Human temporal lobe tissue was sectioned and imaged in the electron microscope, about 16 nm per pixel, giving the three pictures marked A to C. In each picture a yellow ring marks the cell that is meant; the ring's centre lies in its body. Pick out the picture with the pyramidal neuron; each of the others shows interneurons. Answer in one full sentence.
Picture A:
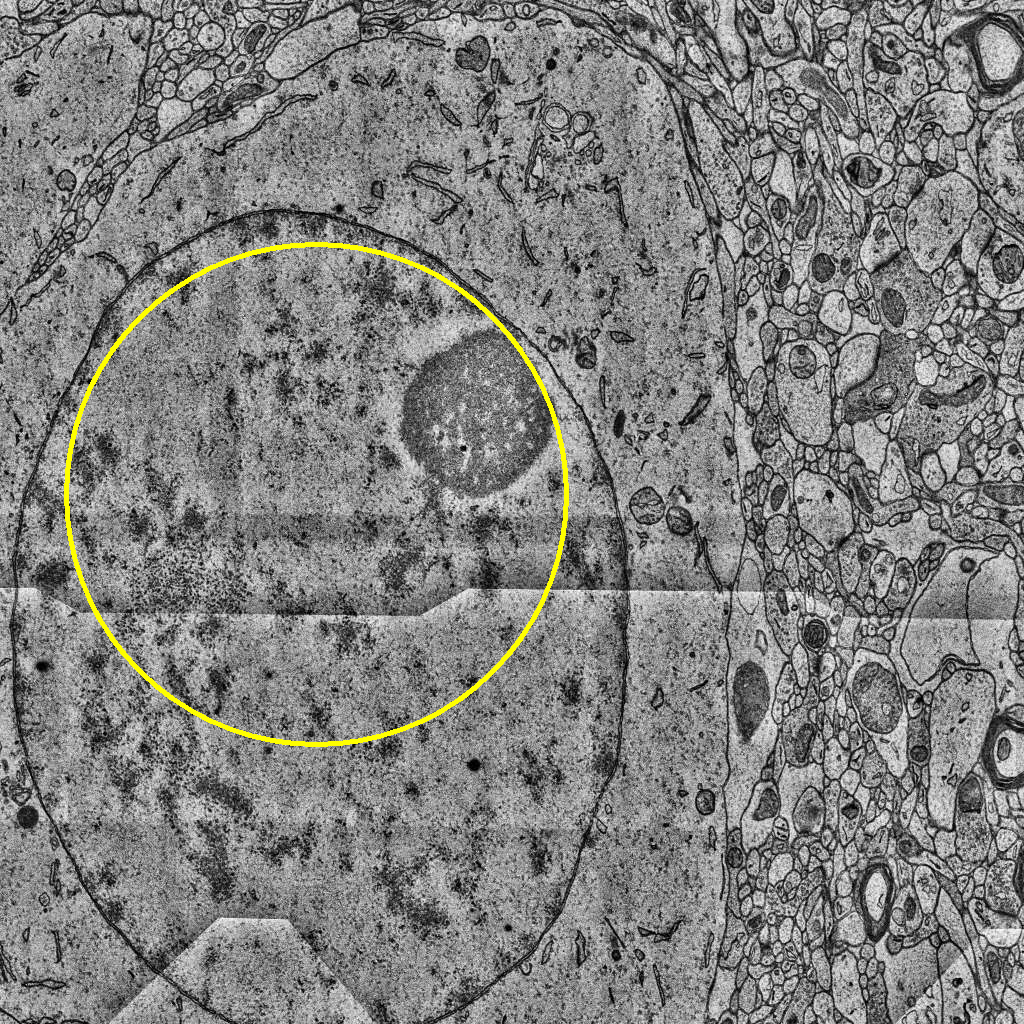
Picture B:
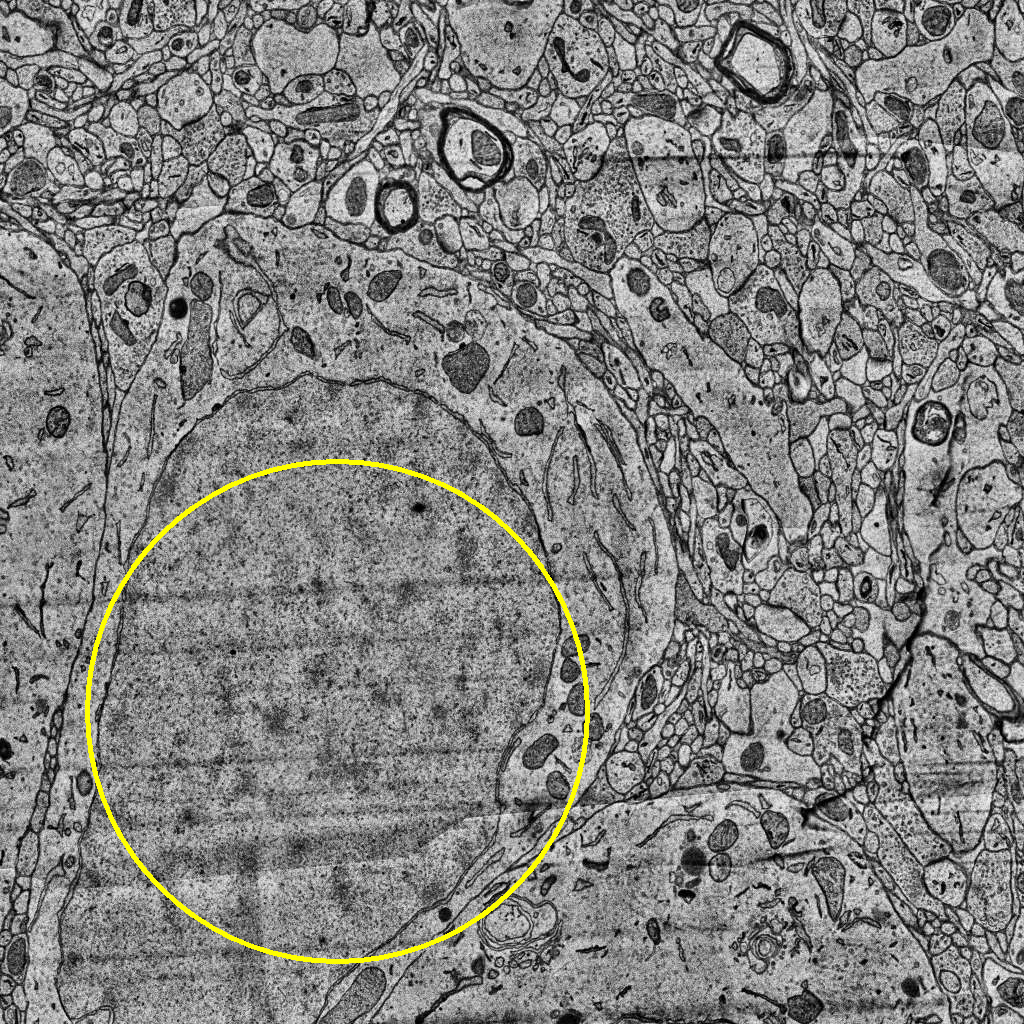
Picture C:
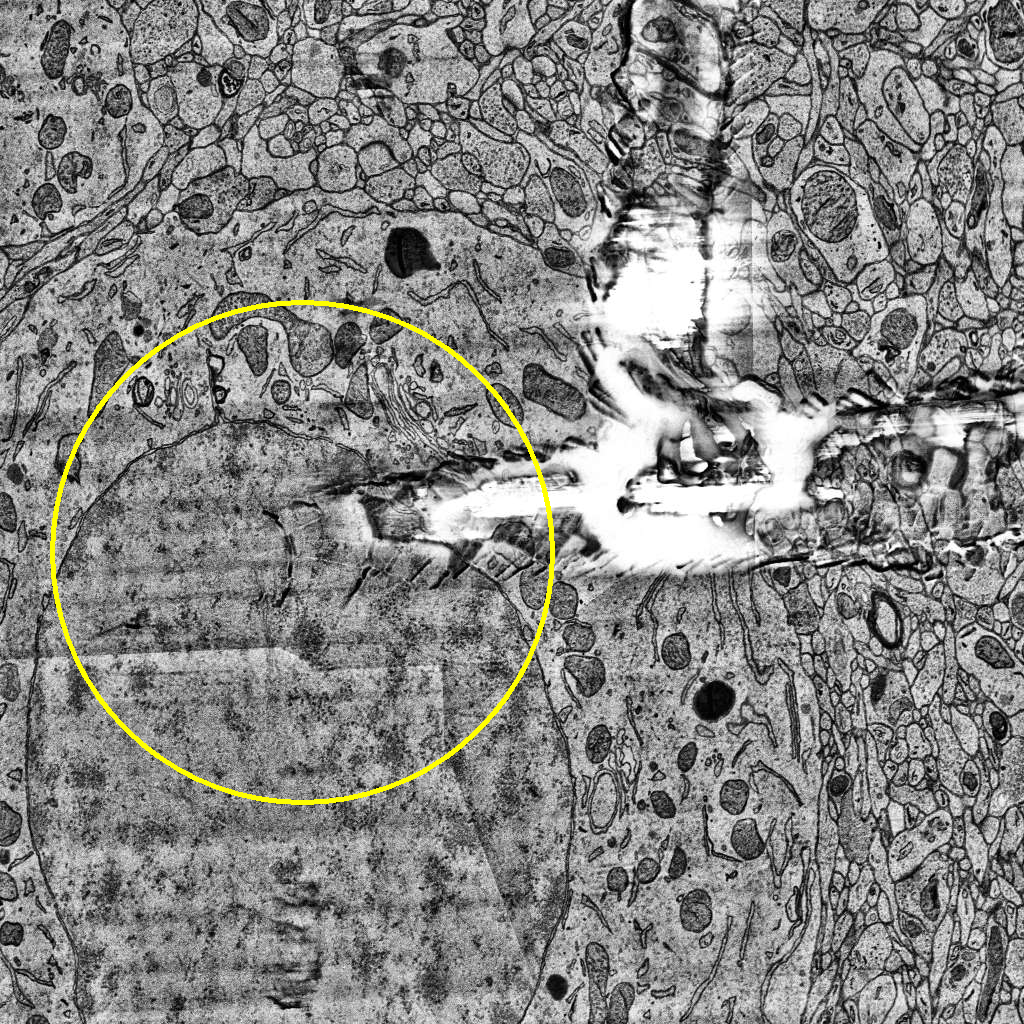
Picture A shows the pyramidal neuron.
